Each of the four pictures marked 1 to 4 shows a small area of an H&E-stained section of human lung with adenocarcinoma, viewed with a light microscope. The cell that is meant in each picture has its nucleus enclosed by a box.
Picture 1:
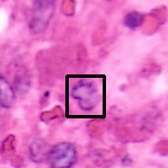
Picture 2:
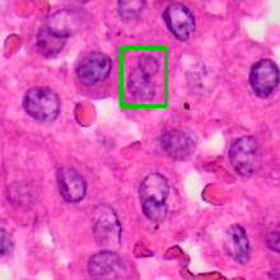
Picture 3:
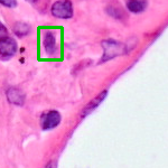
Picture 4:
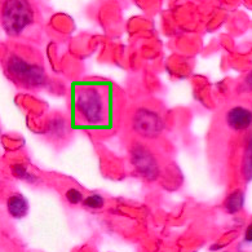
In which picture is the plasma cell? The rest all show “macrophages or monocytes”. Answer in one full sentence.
It is picture 3 that shows the plasma cell.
